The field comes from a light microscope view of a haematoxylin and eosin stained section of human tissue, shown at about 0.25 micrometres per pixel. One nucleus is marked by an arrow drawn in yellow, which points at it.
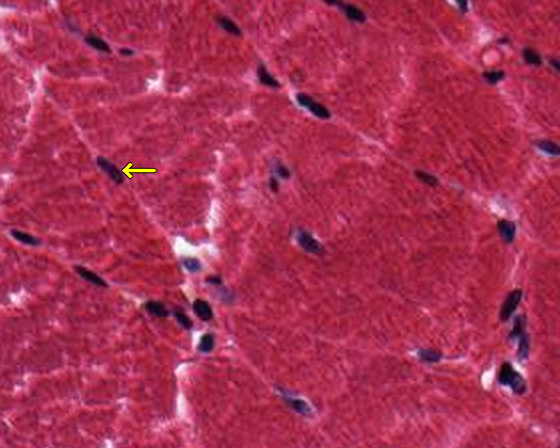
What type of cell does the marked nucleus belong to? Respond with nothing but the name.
skeletal muscle fibre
